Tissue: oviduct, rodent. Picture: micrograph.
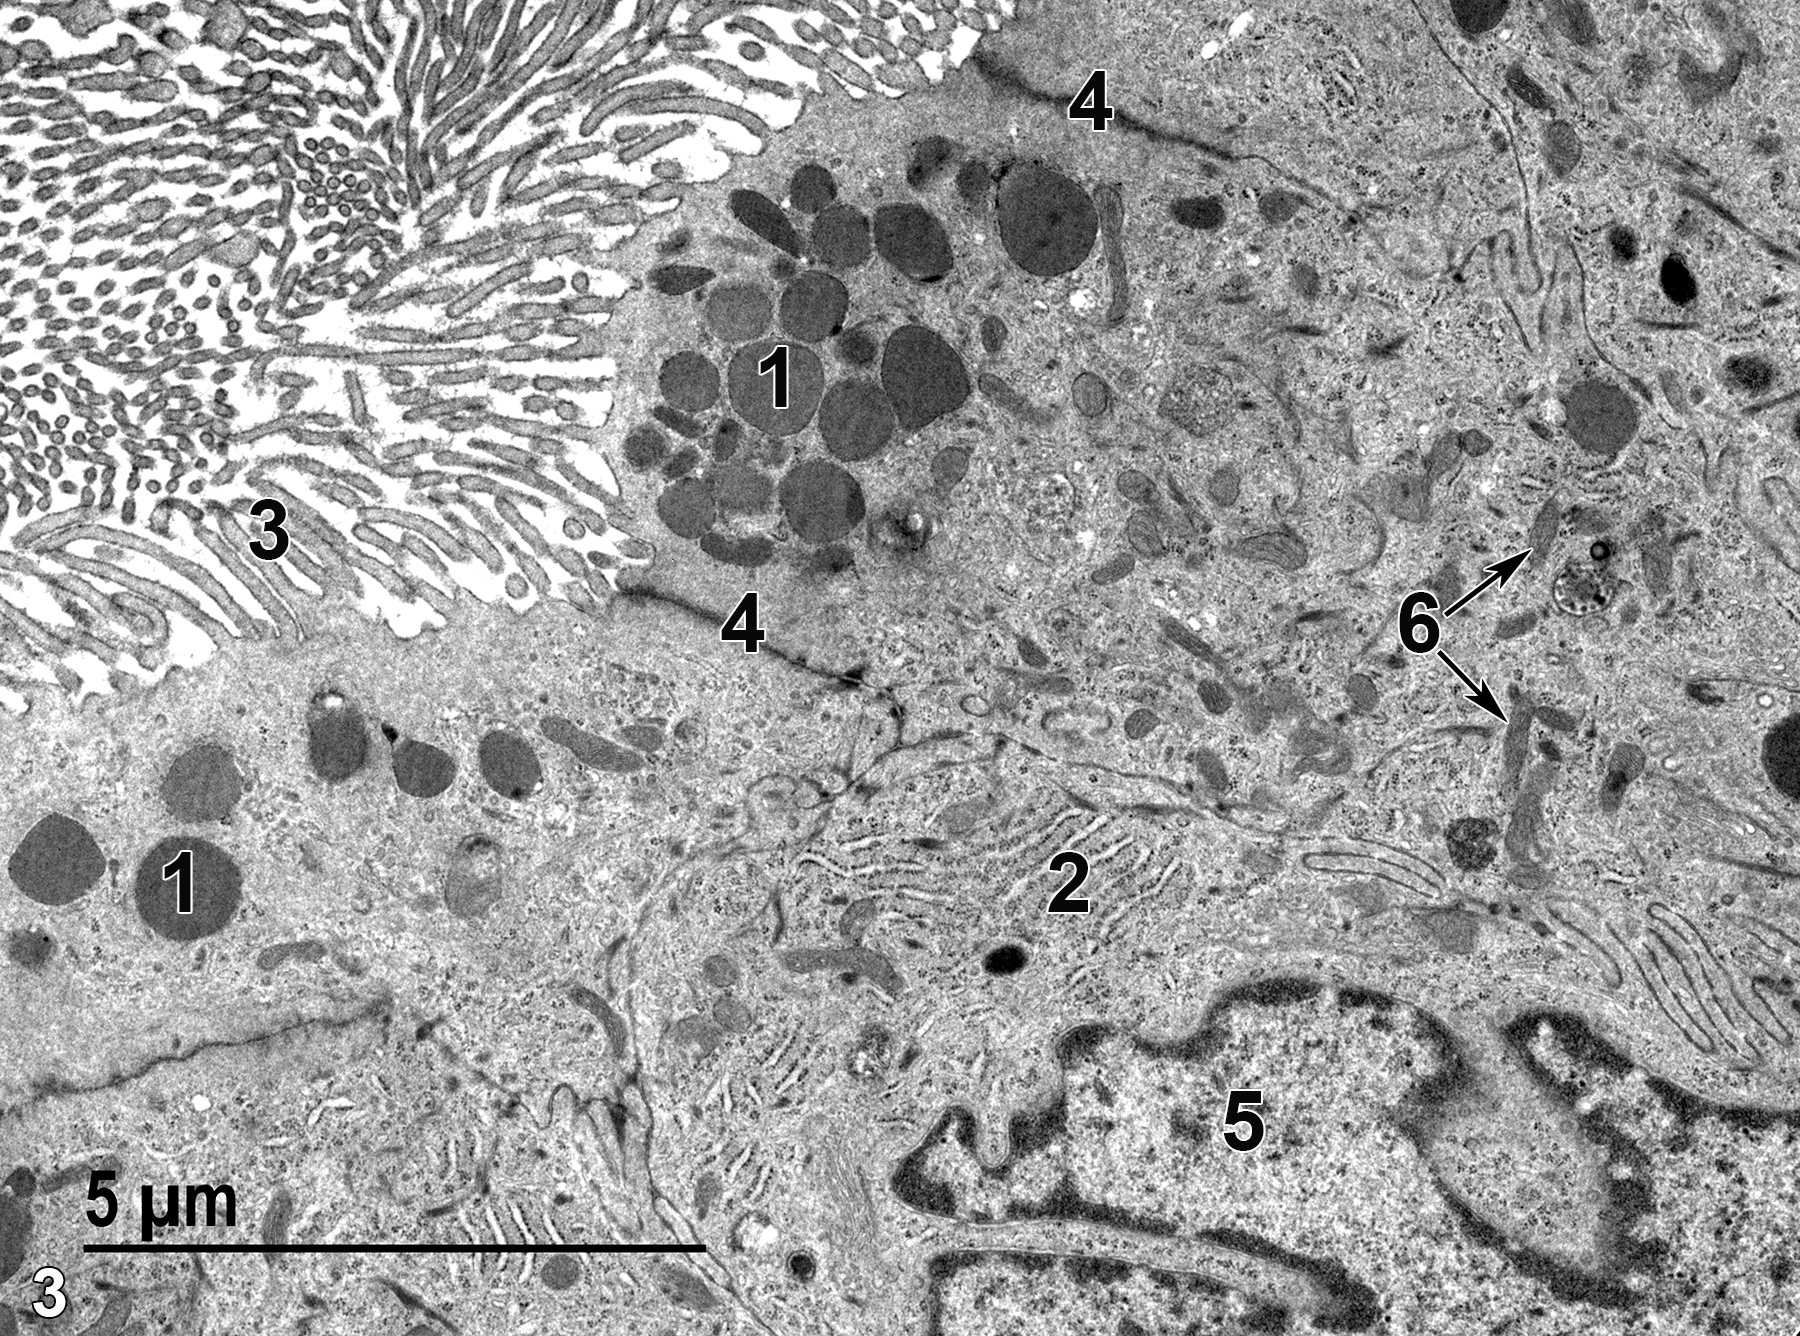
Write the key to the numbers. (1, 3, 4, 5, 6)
1. secretory granules
3. microvilli
4. junctional complexes
5. nucleus
6. mitochondria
